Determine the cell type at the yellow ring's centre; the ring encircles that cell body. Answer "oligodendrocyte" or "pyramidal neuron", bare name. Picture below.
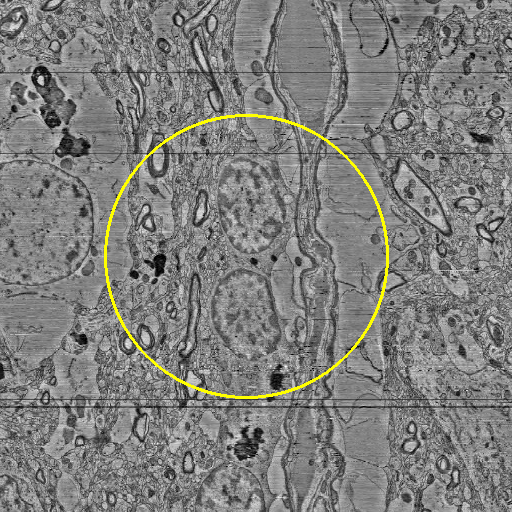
oligodendrocyte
